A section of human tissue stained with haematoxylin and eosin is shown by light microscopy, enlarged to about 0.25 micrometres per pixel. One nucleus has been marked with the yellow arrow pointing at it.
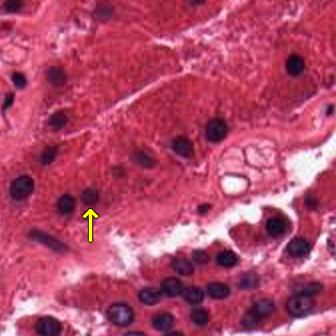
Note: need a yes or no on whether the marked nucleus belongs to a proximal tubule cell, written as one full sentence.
Yes, to a proximal tubule cell belongs the marked nucleus.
